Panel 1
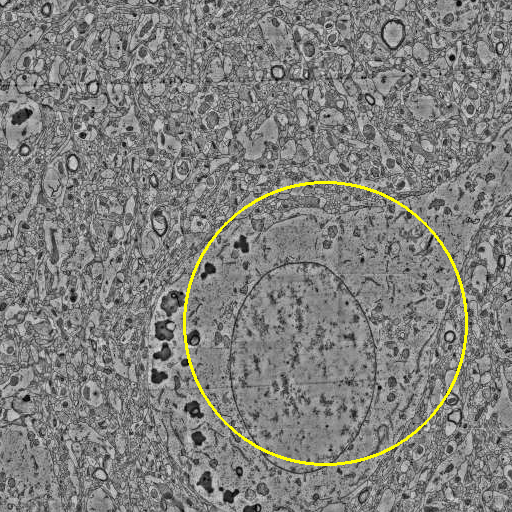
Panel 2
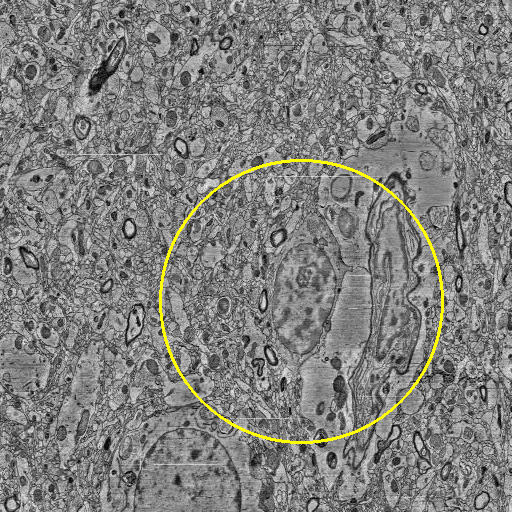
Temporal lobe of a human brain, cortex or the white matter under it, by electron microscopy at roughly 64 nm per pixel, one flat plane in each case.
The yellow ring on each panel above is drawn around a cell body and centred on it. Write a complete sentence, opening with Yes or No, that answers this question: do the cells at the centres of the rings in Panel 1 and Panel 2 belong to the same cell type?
No, the two cells belong to two cell types.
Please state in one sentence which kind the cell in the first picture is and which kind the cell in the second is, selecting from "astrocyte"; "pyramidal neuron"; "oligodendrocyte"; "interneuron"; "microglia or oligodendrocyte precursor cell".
The first ringed cell is a pyramidal neuron, the second ringed cell an oligodendrocyte.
